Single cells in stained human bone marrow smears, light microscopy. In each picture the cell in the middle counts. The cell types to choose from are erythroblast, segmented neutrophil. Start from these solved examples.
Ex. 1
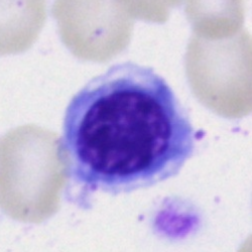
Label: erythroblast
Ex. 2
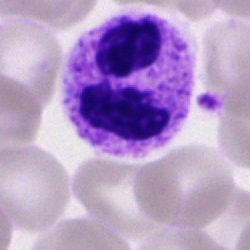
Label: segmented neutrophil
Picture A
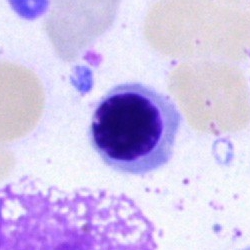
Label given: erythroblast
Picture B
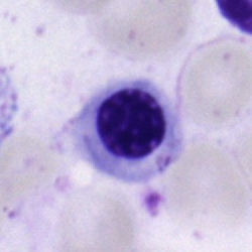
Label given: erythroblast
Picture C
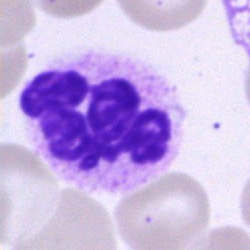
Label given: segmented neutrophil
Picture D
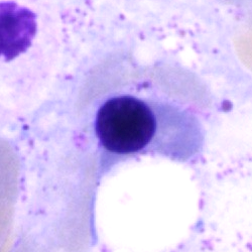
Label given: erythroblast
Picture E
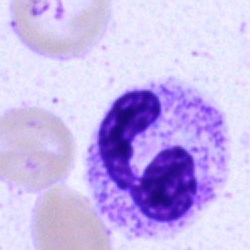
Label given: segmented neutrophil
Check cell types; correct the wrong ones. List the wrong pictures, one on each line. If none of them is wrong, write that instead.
All labels are correct.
